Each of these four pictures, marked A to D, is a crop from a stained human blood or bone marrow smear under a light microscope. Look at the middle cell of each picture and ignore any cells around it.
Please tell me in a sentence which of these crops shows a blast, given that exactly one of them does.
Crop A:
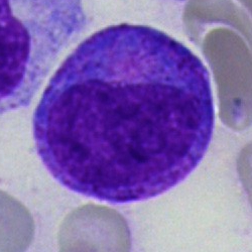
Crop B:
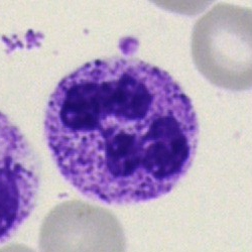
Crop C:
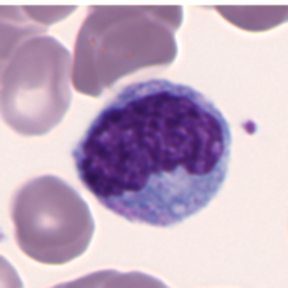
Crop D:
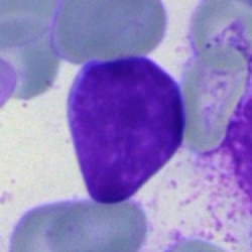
Crop D is the one depicting a blast.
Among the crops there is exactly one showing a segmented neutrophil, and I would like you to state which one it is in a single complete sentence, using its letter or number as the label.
The sole crop showing a segmented neutrophil is crop B.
